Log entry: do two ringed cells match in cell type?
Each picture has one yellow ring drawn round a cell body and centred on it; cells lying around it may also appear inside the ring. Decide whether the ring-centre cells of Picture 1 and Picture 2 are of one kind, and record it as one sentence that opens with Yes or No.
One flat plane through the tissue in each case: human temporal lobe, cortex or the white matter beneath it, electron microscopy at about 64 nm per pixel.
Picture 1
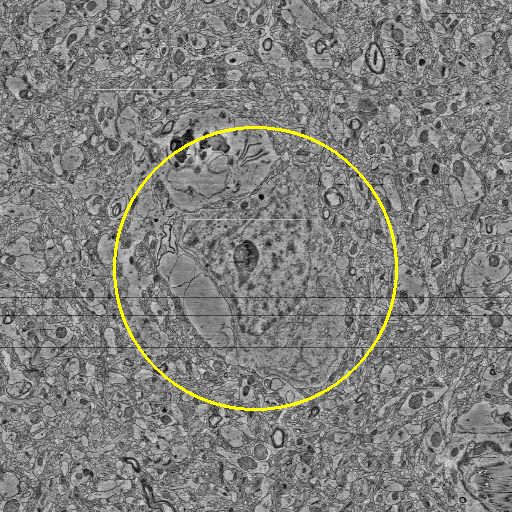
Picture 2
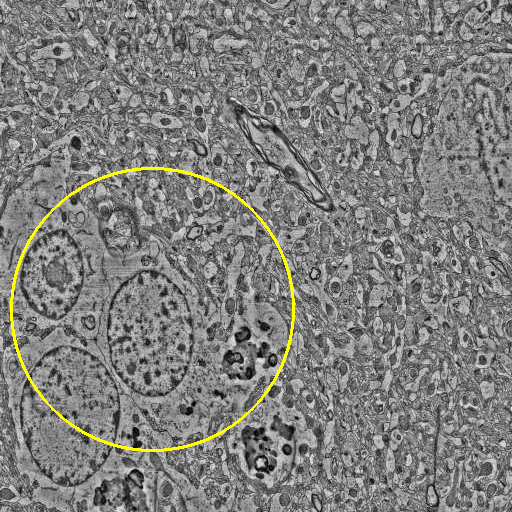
No, the cells at the ring centres of the two pictures belong to two kinds.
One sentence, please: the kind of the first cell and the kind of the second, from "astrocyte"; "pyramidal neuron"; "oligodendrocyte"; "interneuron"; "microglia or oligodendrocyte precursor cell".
The ring in the first picture surrounds an interneuron, and the ring in the second surrounds an astrocyte.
